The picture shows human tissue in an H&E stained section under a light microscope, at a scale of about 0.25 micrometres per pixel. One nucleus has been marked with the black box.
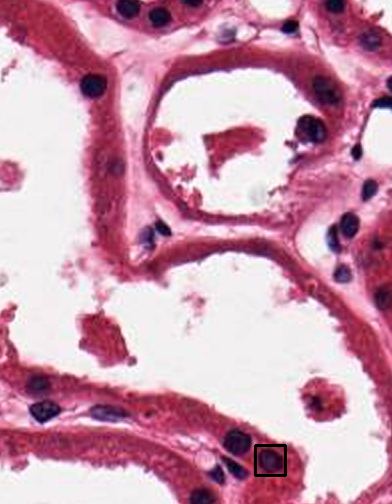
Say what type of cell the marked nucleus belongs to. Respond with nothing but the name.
proximal tubule cell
